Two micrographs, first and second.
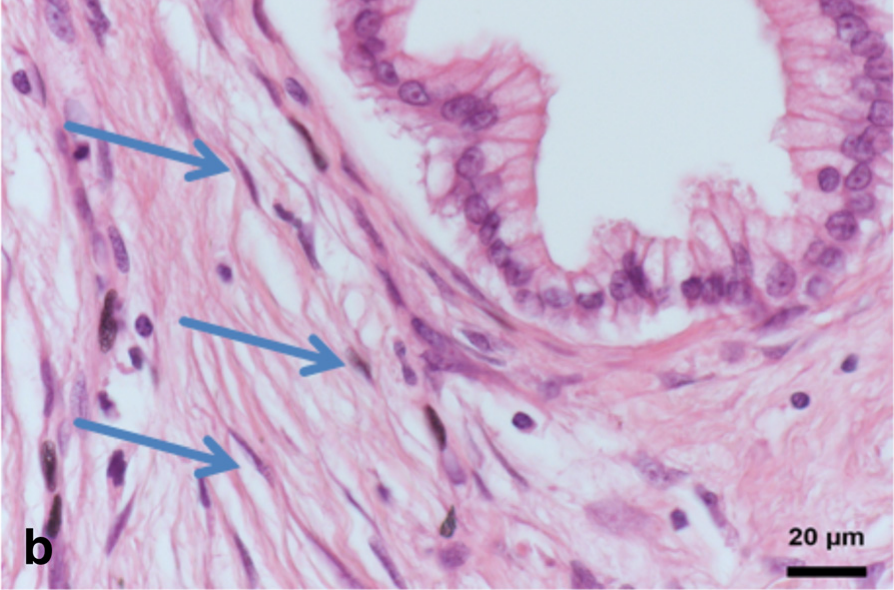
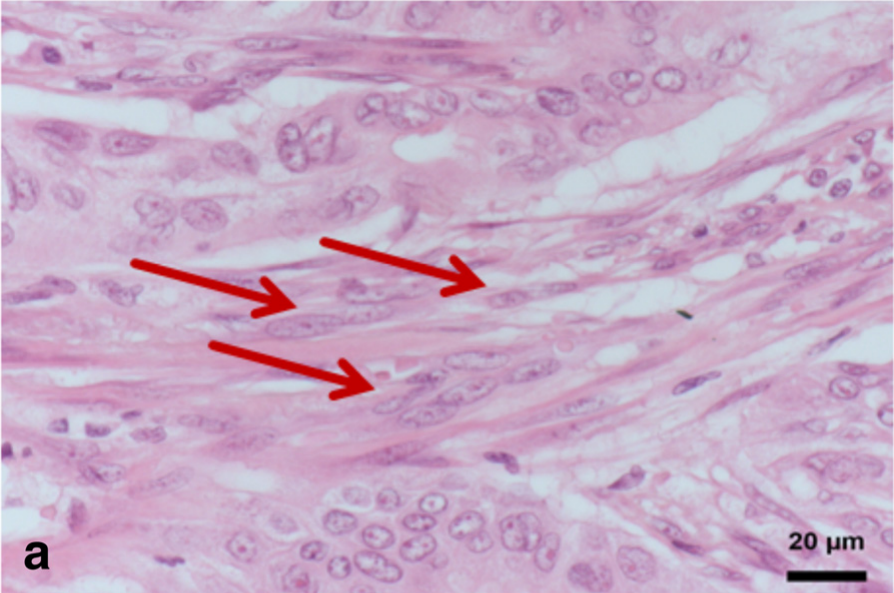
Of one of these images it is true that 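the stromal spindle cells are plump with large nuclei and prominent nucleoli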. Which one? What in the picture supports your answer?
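First image: stromal cells are thin with small, dark, slender nuclei. Second image: stromal spindle cells have large pale oval nuclei with visible nucleoli. On this evidence: the second image.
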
